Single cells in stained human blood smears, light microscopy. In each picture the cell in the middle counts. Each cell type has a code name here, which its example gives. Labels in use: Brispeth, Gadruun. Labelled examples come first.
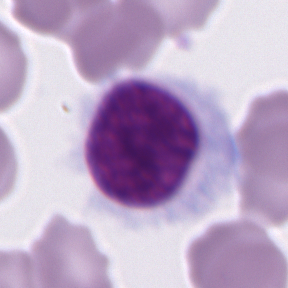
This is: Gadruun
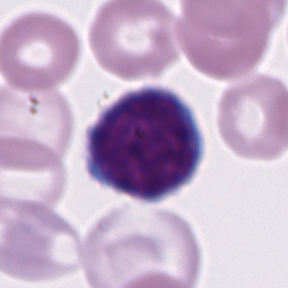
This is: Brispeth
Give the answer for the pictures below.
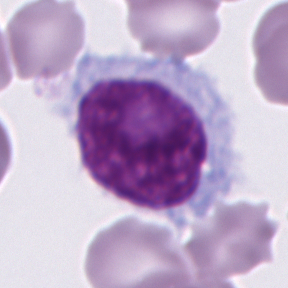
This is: Gadruun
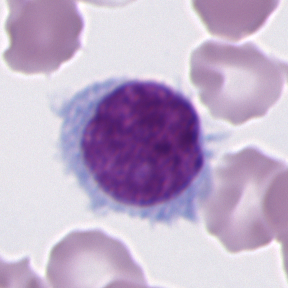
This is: Gadruun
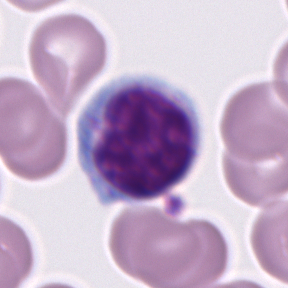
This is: Brispeth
